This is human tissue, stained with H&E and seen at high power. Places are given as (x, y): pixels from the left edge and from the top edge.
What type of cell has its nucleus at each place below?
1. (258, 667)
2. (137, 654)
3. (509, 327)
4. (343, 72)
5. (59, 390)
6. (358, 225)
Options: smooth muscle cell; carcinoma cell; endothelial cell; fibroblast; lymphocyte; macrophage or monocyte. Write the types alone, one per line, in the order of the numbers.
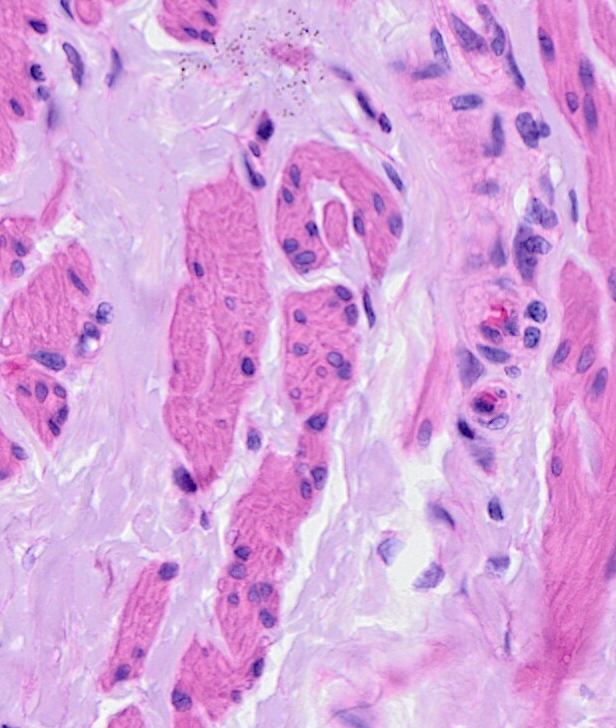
smooth muscle cell
smooth muscle cell
endothelial cell
fibroblast
smooth muscle cell
smooth muscle cell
